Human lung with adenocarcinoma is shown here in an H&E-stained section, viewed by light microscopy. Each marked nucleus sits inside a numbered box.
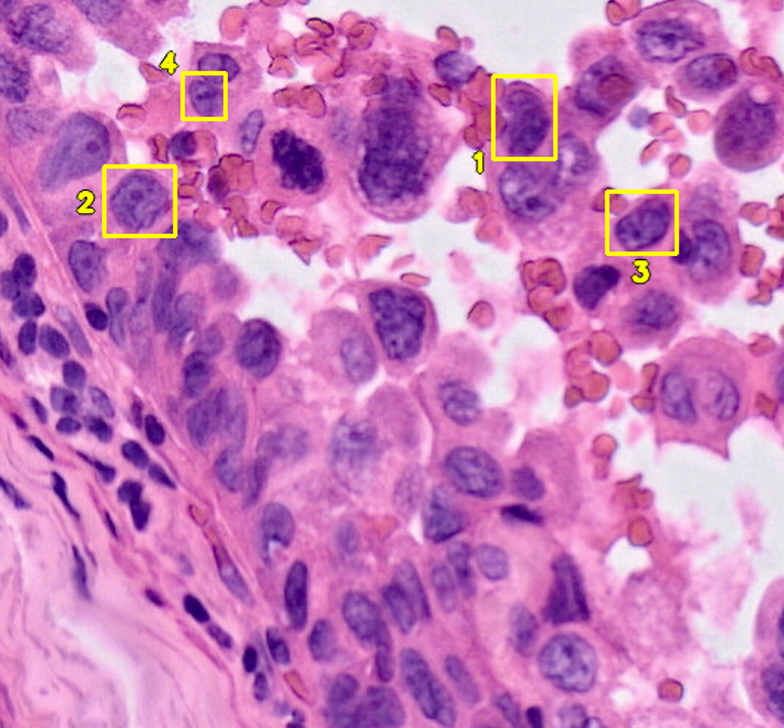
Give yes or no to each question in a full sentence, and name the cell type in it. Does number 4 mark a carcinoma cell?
No, what is marked as number 4 is a macrophage or monocyte rather than a carcinoma cell.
